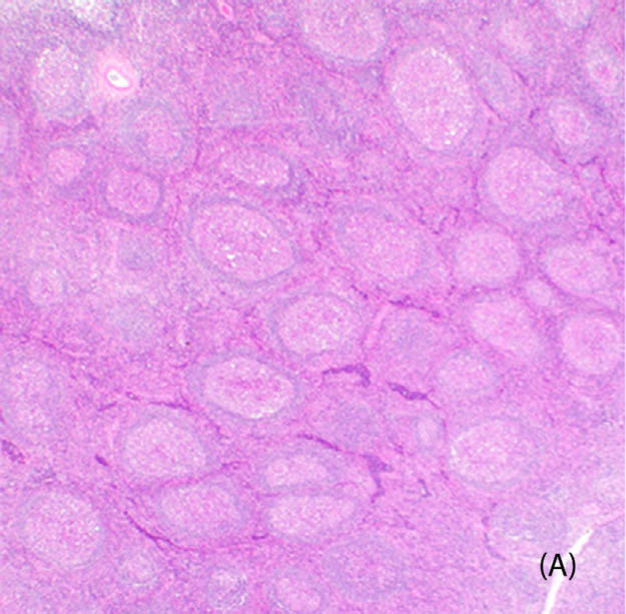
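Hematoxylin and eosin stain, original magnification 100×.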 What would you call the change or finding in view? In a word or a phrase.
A: marked follicular hyperplasia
